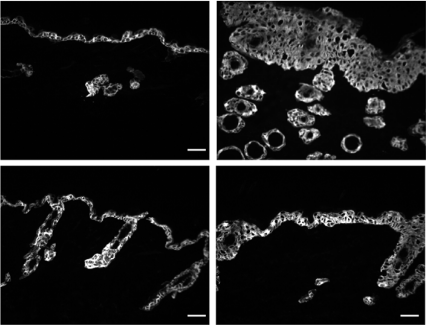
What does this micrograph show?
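These are sections of skin in which the epidermis and hair follicles shine white against a dark dermis. In the left column the epidermis is a thin wavy band only one or two cells deep, with a few follicle profiles beneath it. In the right column, especially the upper image, the epidermis is a thick, many-layered sheet in which individual cells show as bright outlines around dark cell bodies. Beneath it lie many round and oval follicle profiles, each a ring of bright cells. In the lower right image the epidermis is thinner than in the upper right one but still thicker than on the left.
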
